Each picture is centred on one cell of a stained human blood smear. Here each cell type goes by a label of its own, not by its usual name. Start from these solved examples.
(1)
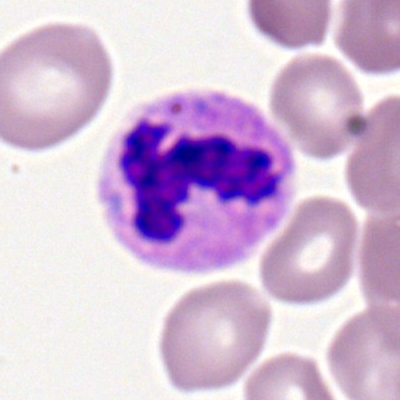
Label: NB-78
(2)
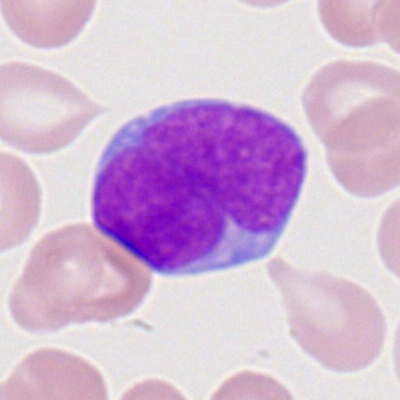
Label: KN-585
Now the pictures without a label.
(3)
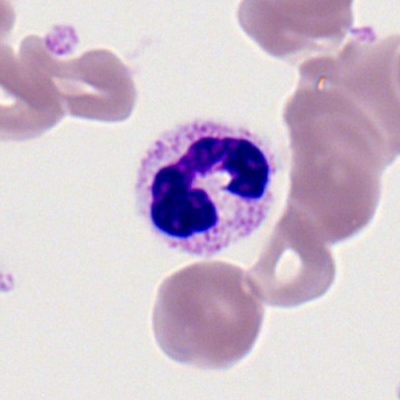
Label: NB-78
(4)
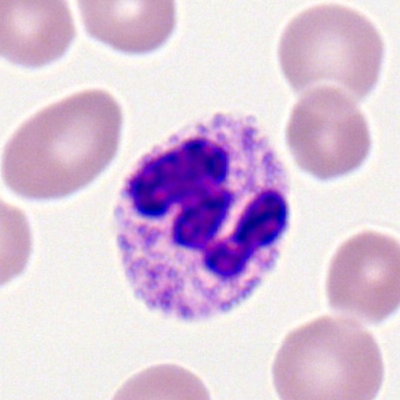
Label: NB-78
